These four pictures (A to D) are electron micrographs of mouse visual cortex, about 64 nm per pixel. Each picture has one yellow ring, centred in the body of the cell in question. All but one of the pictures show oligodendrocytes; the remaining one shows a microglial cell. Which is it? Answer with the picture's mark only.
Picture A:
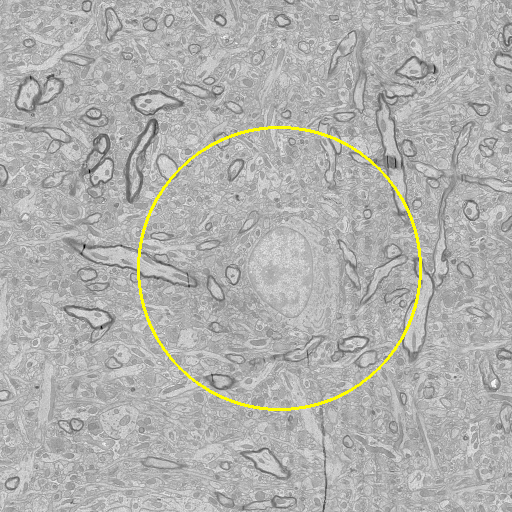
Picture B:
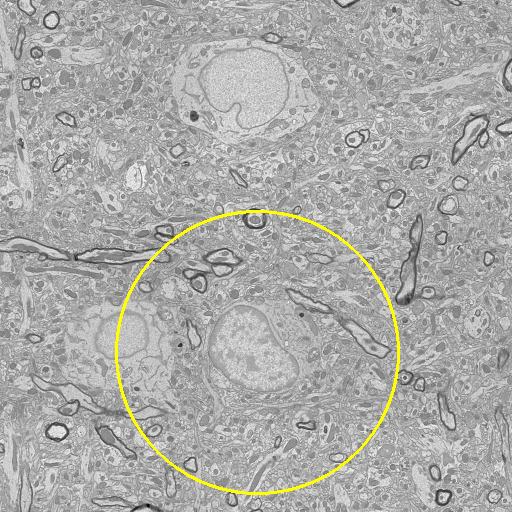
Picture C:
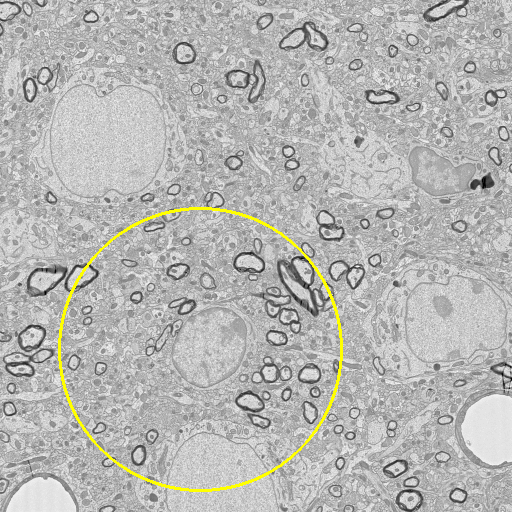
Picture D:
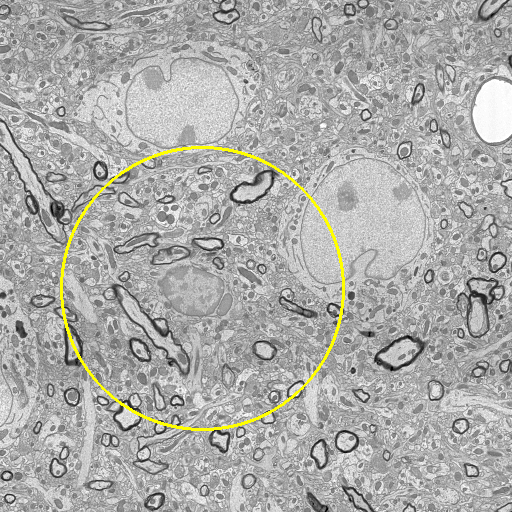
D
